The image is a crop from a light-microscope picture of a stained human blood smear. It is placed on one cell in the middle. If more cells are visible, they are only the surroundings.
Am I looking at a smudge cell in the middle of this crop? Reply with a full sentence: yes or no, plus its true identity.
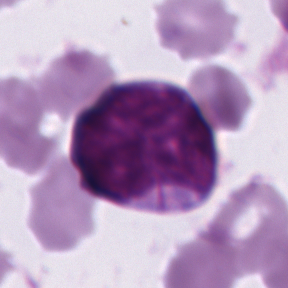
No, a myeloblast rather than a smudge cell is the cell at the centre of the crop.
